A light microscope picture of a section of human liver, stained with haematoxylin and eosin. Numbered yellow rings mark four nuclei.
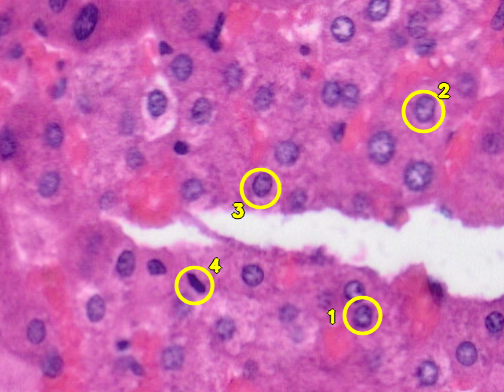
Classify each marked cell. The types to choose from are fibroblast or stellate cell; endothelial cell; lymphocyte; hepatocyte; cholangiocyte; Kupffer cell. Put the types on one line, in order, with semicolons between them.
hepatocyte; hepatocyte; hepatocyte; fibroblast or stellate cell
